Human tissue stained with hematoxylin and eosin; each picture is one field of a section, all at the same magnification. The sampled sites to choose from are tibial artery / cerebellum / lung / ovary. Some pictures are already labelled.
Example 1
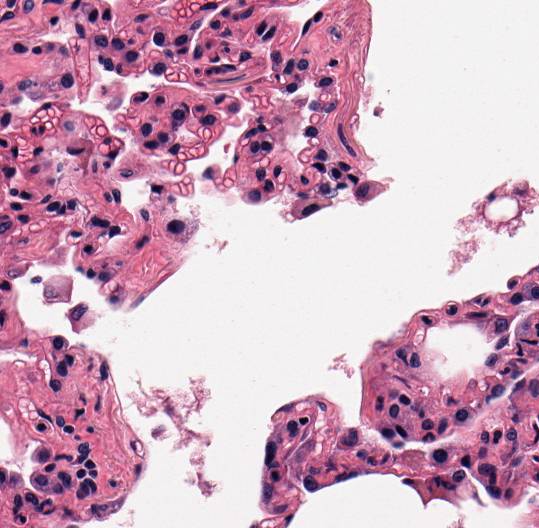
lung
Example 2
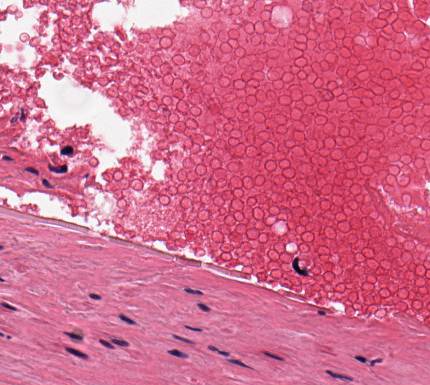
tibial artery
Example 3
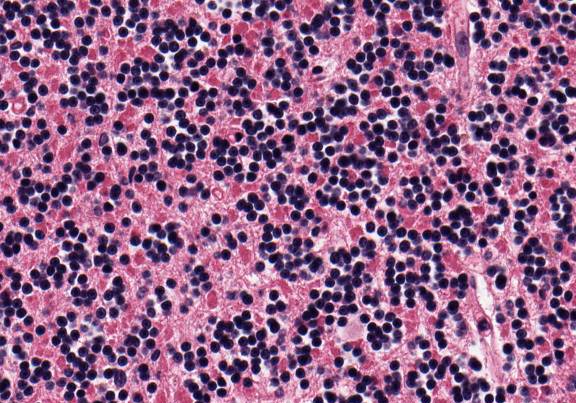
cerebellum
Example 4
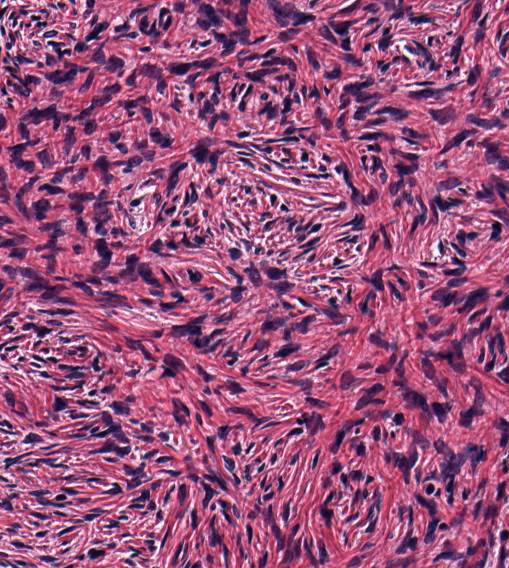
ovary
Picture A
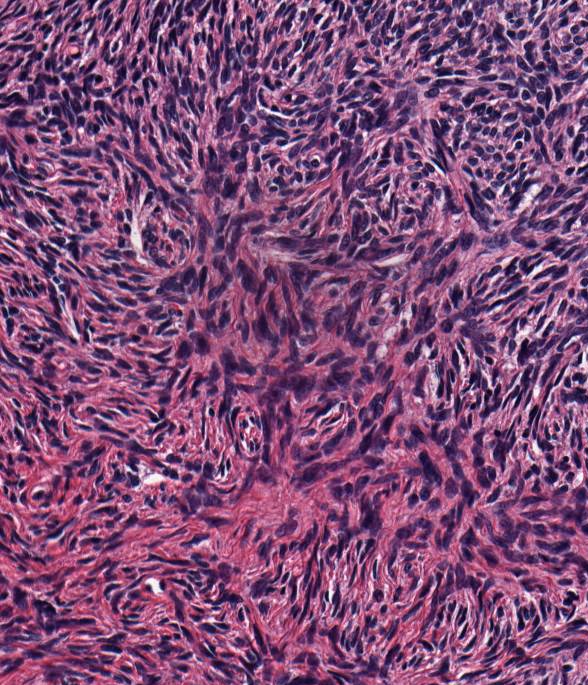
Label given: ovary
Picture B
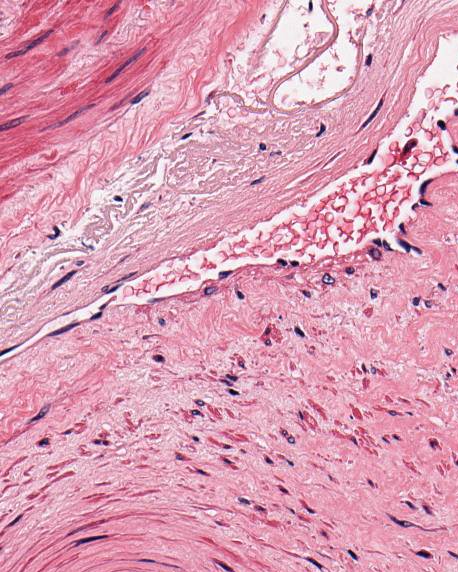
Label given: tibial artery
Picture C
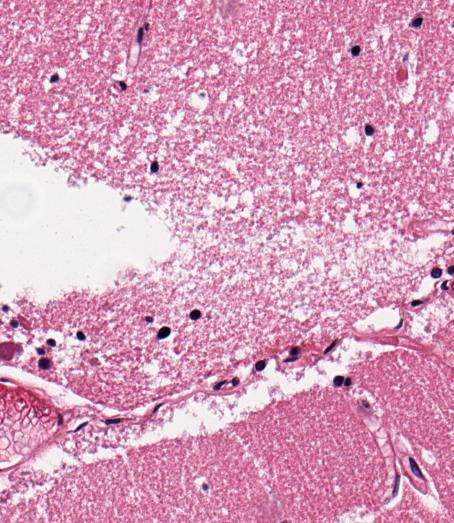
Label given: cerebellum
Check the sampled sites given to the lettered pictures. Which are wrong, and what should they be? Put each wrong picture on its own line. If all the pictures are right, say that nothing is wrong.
Every label is right.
